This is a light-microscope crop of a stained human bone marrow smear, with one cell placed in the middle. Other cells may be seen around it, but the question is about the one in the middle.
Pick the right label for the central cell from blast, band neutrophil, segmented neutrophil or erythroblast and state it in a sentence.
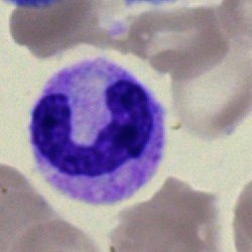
The centered cell in this crop is a band neutrophil.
